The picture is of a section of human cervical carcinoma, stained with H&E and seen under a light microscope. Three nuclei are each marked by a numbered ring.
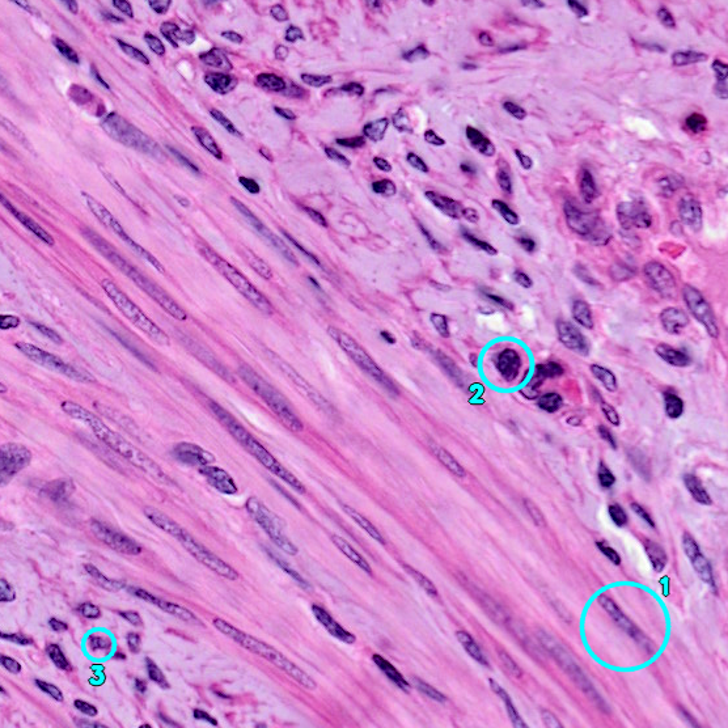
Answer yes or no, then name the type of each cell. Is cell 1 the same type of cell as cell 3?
Yes, both are smooth muscle cells.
